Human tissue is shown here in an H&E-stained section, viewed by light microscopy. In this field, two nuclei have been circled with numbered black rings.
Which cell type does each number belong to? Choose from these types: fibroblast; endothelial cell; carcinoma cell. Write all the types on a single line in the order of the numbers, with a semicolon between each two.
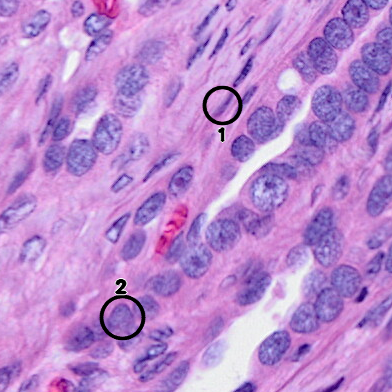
fibroblast; carcinoma cell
